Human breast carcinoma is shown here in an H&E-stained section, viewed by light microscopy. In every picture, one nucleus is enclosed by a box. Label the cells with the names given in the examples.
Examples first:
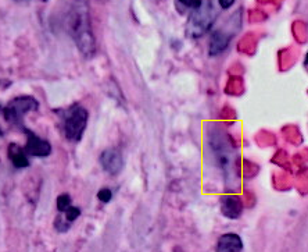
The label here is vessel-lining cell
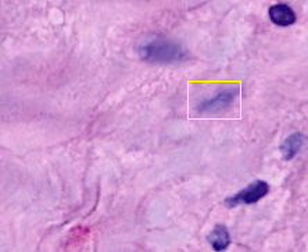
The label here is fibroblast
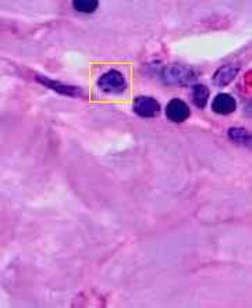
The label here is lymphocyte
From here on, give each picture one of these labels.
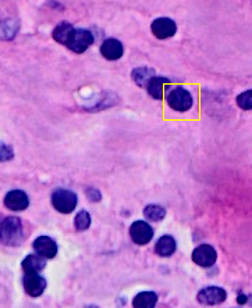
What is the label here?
lymphocyte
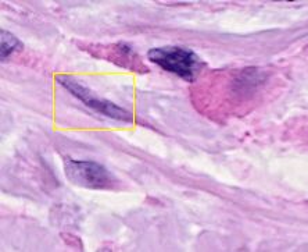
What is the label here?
fibroblast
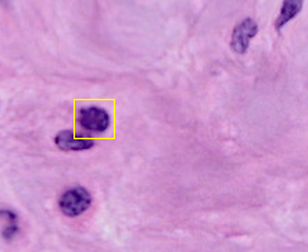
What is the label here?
lymphocyte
